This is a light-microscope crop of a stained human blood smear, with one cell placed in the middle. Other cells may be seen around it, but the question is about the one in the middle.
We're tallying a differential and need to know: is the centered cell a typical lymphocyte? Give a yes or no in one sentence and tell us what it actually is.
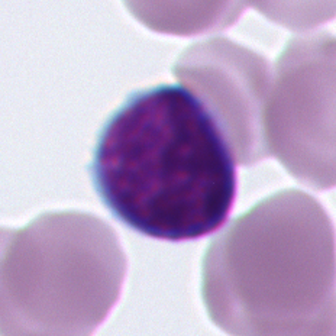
Yes, the cell that lies centrally is a typical lymphocyte.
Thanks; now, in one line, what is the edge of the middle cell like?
The membrane contour is even and smooth, with nothing projecting from it.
